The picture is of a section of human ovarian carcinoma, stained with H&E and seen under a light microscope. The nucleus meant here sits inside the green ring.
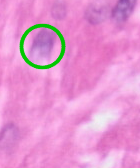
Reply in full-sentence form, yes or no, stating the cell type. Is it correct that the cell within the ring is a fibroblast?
Yes, the cell within the ring is one that is classed as a fibroblast.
